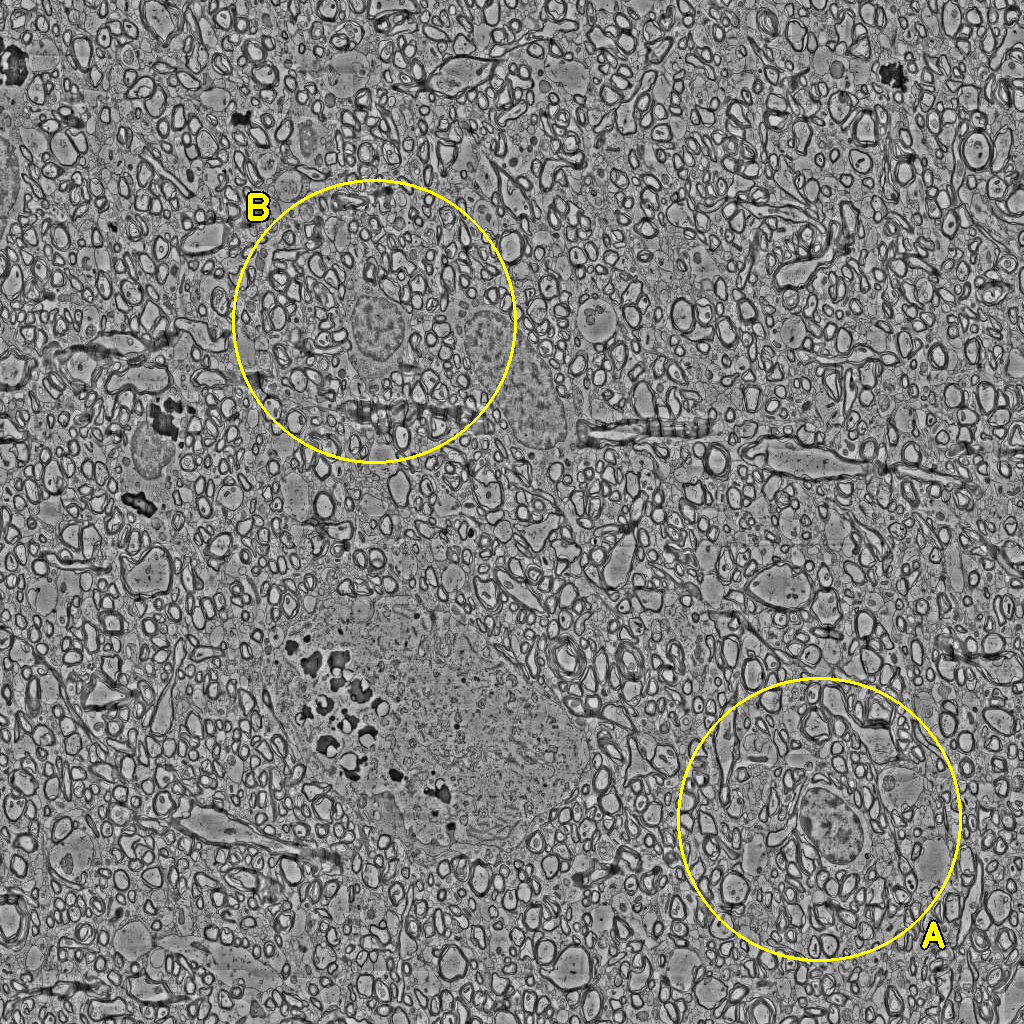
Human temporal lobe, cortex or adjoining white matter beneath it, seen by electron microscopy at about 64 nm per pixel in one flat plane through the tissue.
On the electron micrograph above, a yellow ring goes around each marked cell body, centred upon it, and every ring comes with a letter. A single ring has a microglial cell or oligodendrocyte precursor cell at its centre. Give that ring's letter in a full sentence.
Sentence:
The ring holding the cell asked for at its centre bears the letter A.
